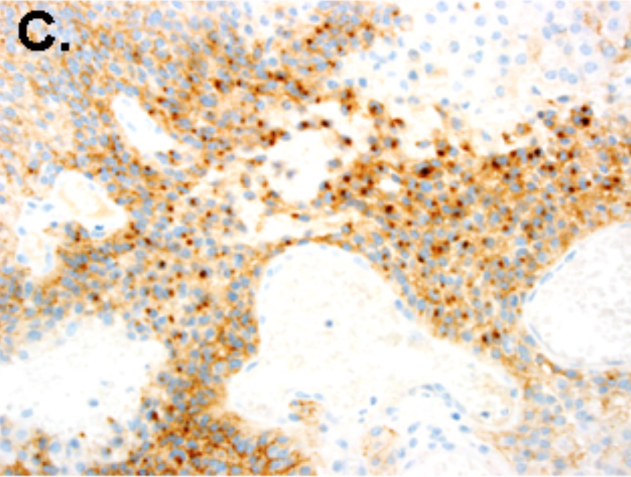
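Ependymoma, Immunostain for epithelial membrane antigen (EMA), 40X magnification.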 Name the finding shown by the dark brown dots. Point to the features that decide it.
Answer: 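Perinuclear dot-like positivity. Small dark brown dots lie in many cells beside the blue nuclei. The dots are scattered in patches rather than in every cell. A fainter diffuse brown tint fills the cellular areas between pale acellular regions.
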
